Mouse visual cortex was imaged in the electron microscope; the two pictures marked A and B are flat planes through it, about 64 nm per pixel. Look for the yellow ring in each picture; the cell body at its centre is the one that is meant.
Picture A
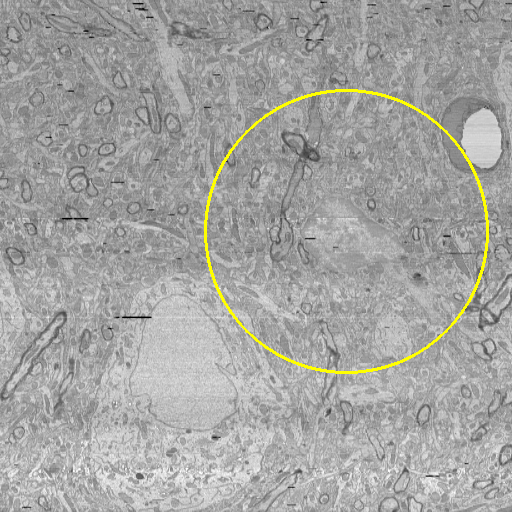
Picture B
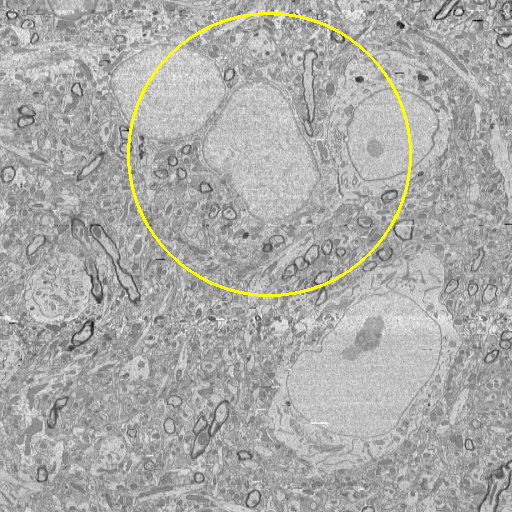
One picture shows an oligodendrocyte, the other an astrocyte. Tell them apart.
In picture A the cell is an oligodendrocyte; in picture B, an astrocyte.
